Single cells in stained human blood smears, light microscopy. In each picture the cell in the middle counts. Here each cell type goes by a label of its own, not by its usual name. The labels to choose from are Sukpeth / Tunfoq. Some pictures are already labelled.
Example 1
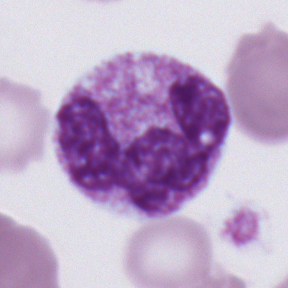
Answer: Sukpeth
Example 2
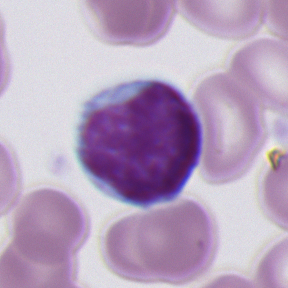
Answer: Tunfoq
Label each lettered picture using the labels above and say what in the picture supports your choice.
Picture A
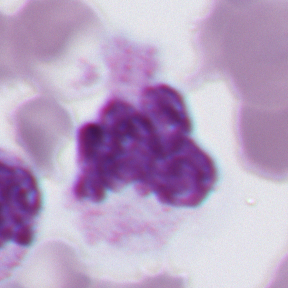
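Answer: Sukpeth. The cytoplasm is pale pink-lilac rather than blue.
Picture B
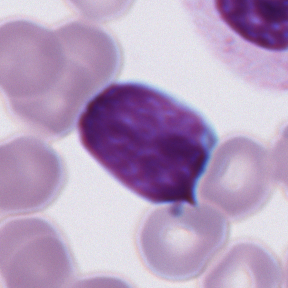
Answer: Tunfoq. Cytoplasm shows only as a very thin rim, seen mainly along the right edge.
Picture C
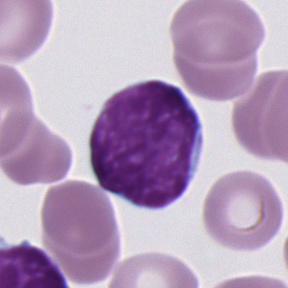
Answer: Tunfoq. Only a very thin rim of cytoplasm shows, mostly along the right edge.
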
